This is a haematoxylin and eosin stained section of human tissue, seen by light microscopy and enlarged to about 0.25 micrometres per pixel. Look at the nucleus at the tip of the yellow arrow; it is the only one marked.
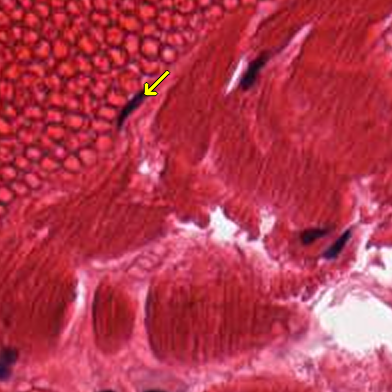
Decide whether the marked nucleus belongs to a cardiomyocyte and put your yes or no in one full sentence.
No, the marked nucleus is not from a cardiomyocyte; a supporting cell is its source.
